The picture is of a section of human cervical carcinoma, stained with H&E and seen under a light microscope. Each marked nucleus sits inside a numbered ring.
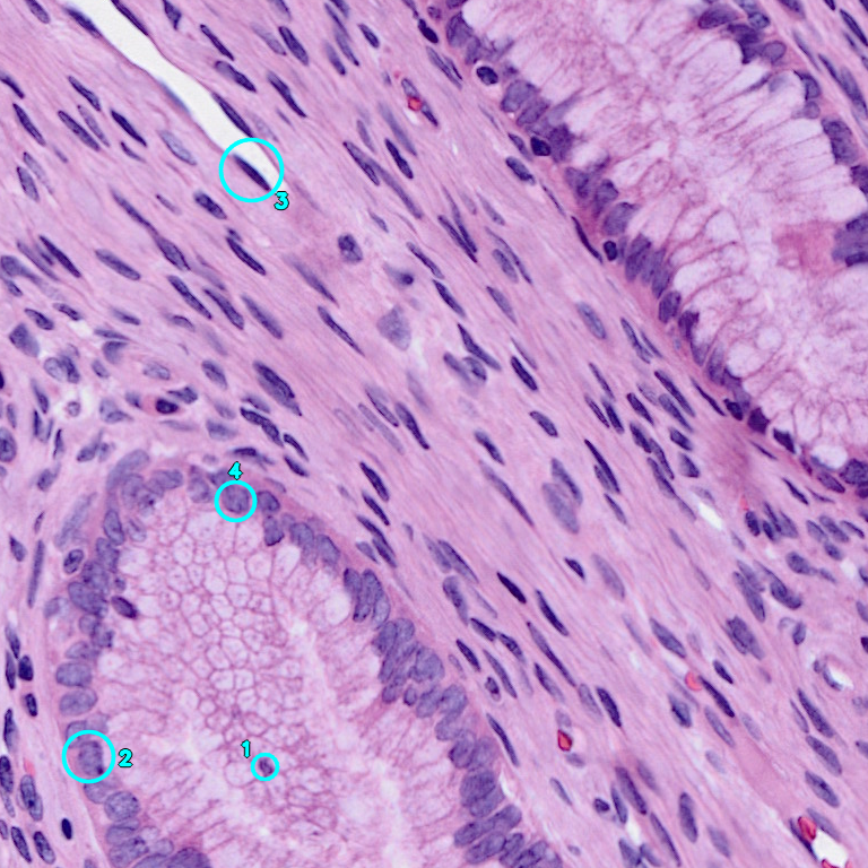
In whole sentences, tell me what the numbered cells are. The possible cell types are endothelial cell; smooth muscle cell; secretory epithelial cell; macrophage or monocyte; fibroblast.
Cells 1, 2 and 4 are secretory epithelial cells. Cell 3 is an endothelial cell.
